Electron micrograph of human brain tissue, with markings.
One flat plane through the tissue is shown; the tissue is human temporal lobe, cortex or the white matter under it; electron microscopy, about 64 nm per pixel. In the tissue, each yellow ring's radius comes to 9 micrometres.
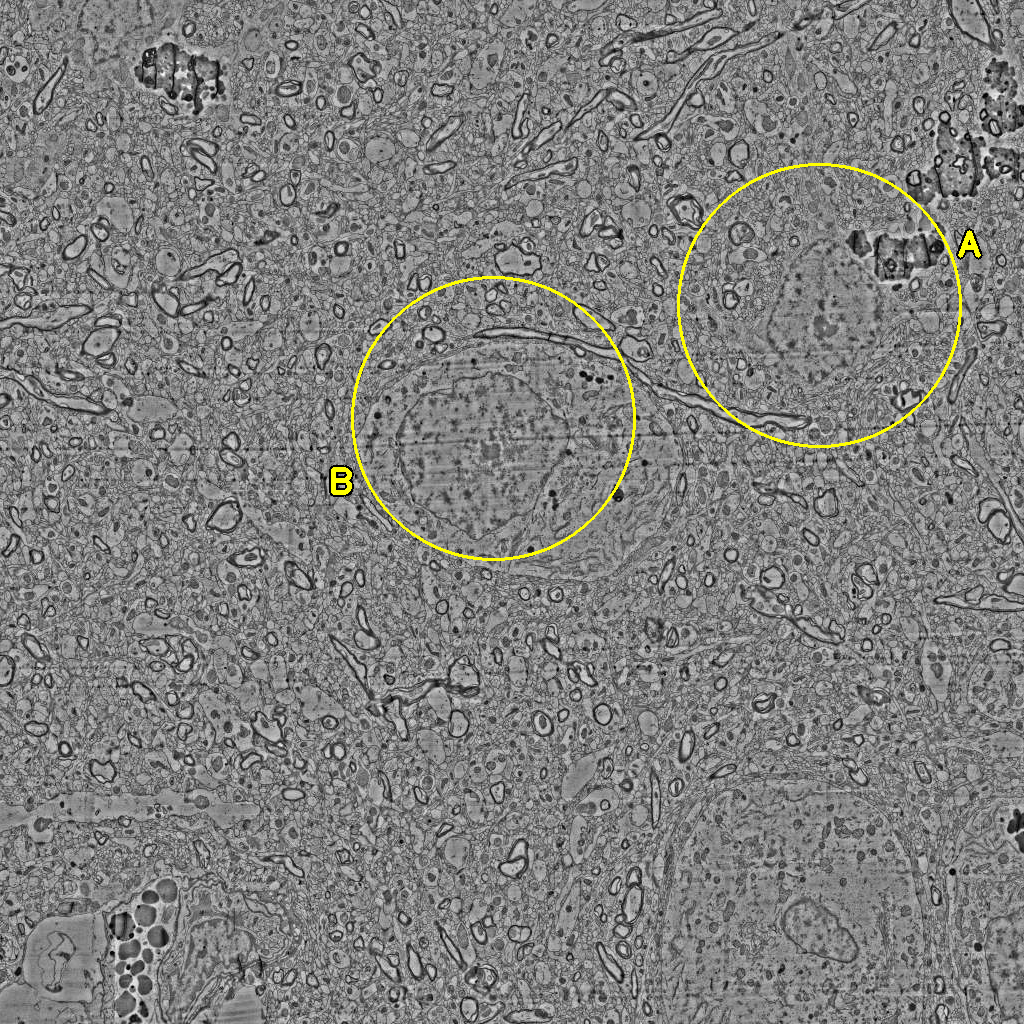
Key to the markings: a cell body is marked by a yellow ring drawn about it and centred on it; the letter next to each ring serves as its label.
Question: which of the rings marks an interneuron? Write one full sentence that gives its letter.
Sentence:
In this picture, the ring marking that kind of cell has the letter B.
